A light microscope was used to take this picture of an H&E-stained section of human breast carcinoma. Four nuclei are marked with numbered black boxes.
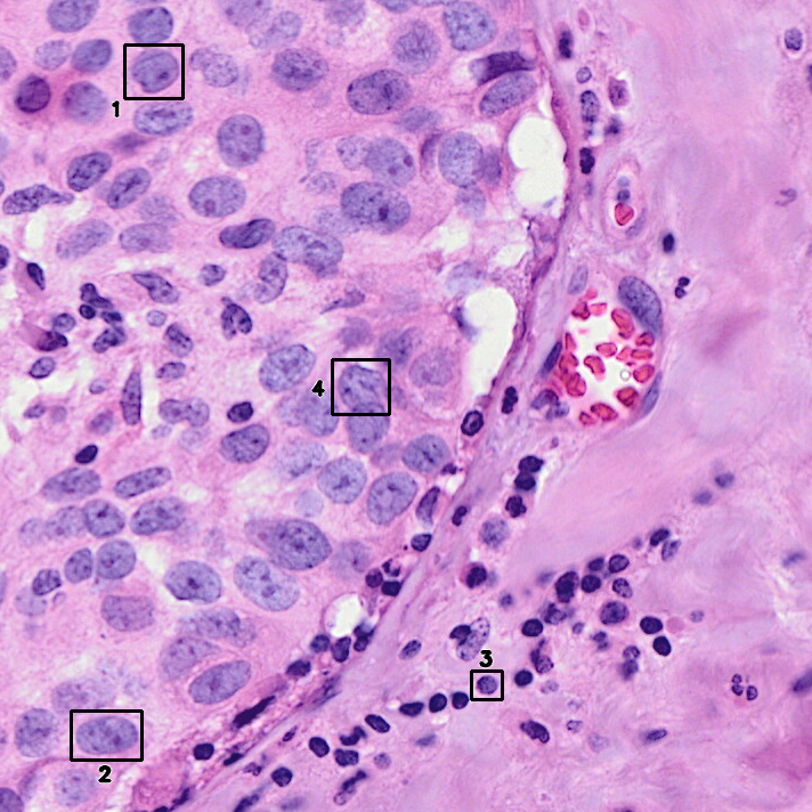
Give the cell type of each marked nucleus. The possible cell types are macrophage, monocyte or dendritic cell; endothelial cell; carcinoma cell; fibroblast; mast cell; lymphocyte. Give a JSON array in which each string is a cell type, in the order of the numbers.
["carcinoma cell", "carcinoma cell", "lymphocyte", "carcinoma cell"]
